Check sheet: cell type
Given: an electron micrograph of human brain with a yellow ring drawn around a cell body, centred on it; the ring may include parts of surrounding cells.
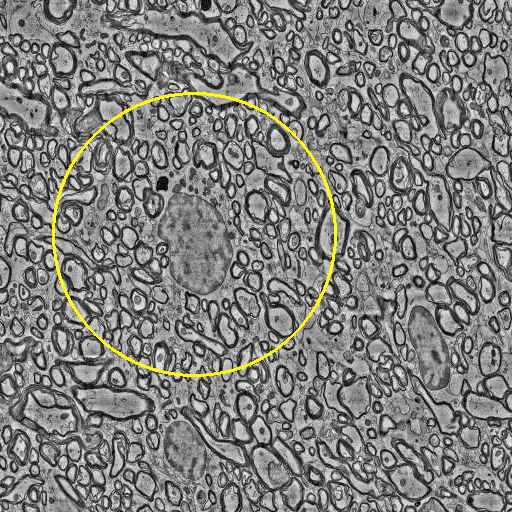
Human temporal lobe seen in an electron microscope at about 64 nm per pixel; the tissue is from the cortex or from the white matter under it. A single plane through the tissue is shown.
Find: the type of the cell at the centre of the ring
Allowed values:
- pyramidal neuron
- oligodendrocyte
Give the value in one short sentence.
Here the ringed cell is an oligodendrocyte.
